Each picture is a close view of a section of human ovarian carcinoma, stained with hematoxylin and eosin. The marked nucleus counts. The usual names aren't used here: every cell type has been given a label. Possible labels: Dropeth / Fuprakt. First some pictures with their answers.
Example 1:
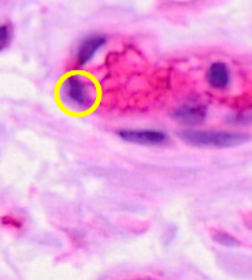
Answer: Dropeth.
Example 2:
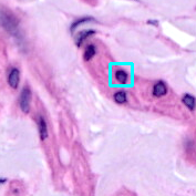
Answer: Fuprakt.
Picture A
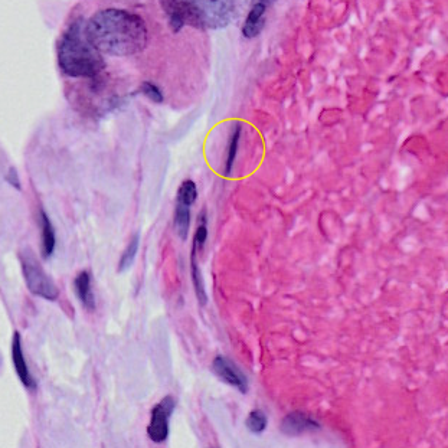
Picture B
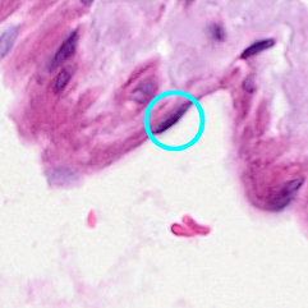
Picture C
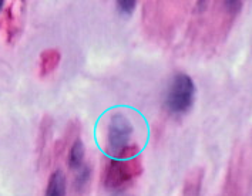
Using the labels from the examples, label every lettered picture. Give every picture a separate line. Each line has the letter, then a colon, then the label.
A: Dropeth.
B: Dropeth.
C: Dropeth.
